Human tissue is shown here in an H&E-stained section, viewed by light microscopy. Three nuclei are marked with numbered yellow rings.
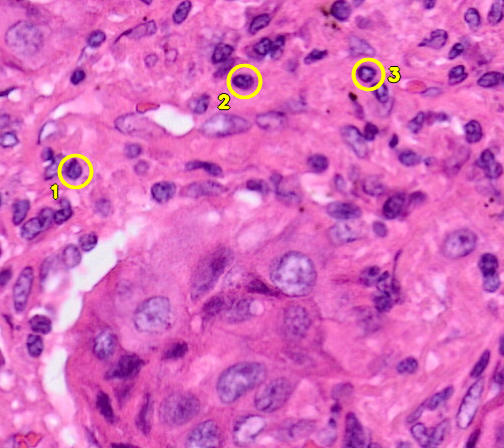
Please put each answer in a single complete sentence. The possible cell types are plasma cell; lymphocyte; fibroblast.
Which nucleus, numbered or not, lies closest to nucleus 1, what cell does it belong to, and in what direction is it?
It is a fibroblast, whose nucleus lies to the left of nucleus 1.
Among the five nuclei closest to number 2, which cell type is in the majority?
The majority of the five nuclei closest to number 2 belong to plasma cells.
